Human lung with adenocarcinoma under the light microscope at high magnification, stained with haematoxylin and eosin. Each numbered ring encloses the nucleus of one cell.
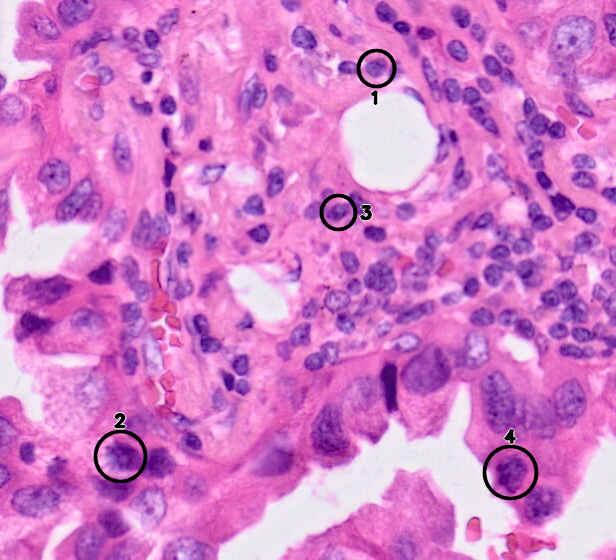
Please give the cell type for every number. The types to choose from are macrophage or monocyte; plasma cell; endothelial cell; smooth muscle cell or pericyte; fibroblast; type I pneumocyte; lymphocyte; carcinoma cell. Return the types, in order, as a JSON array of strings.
["lymphocyte", "carcinoma cell", "lymphocyte", "carcinoma cell"]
